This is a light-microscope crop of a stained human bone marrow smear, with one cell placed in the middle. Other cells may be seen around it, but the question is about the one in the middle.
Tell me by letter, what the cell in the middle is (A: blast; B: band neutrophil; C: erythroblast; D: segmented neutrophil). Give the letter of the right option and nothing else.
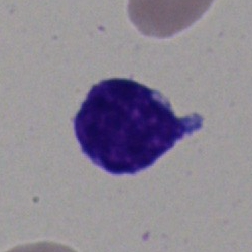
A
